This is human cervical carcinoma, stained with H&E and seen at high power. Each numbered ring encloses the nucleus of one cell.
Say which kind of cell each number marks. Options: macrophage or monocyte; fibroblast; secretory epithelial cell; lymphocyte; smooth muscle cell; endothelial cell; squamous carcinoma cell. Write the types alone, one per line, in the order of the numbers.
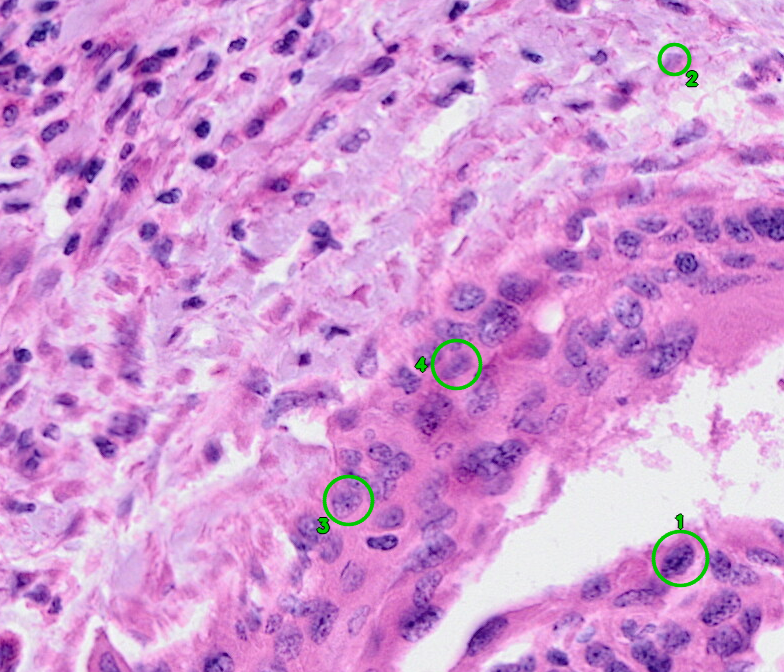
squamous carcinoma cell
fibroblast
squamous carcinoma cell
squamous carcinoma cell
